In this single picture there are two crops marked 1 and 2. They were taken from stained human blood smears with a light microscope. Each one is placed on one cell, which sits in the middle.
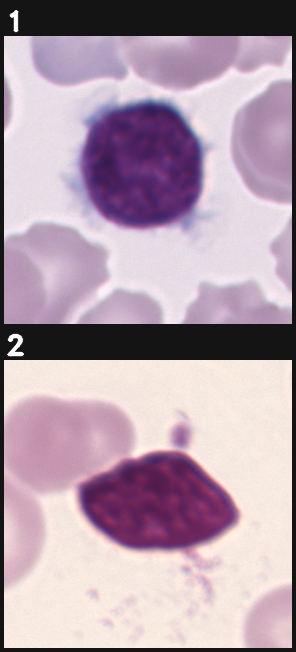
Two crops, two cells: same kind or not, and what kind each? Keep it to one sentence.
No, a hairy cell lies at the centre of crop 1, and a smudge cell lies at the centre of crop 2.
